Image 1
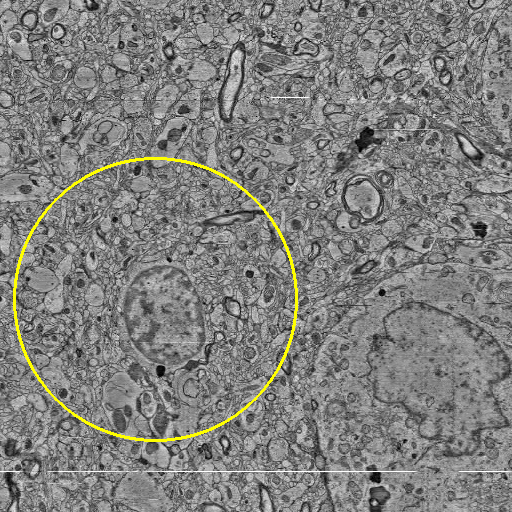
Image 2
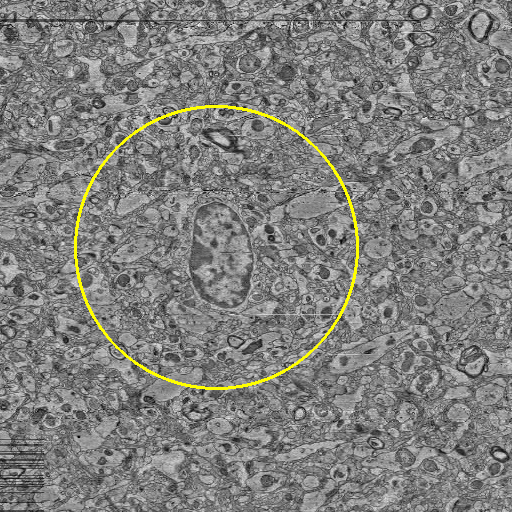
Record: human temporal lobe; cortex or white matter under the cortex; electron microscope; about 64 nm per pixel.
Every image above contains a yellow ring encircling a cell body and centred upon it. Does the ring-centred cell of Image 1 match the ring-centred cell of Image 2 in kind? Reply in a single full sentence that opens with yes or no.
No, the cell at the ring's centre in Image 1 is a separate kind from that in Image 2.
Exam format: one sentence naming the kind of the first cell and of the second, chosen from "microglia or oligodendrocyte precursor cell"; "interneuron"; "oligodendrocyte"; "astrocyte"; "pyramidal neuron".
The first picture's cell is an oligodendrocyte, and the second picture's cell is a microglial cell or oligodendrocyte precursor cell.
